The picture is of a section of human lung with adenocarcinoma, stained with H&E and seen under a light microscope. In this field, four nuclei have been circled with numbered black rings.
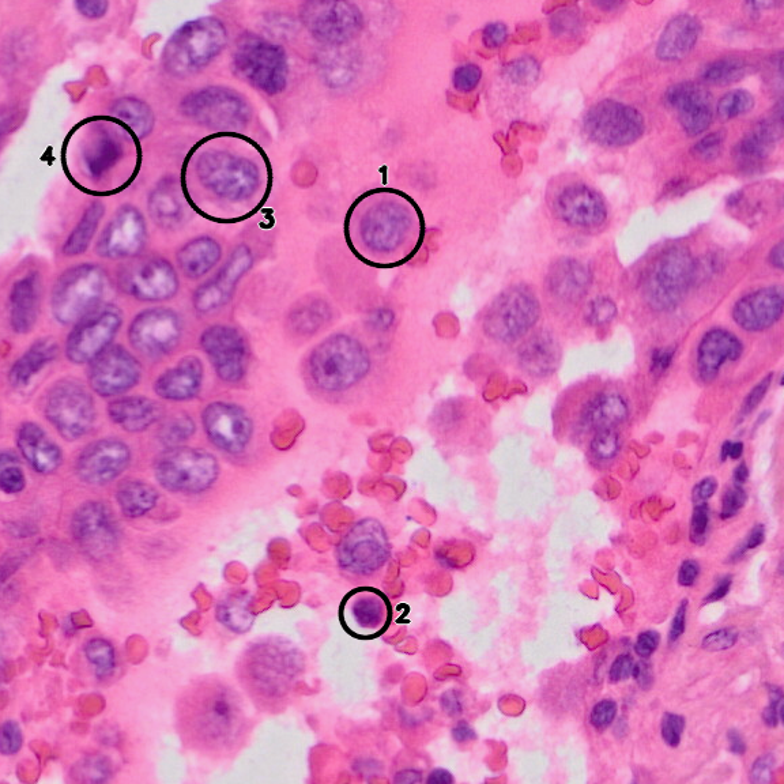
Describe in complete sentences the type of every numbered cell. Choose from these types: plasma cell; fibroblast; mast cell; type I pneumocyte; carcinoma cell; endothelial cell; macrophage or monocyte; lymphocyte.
Cells 1, 3 and 4 are carcinoma cells. Cell 2 is a lymphocyte.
